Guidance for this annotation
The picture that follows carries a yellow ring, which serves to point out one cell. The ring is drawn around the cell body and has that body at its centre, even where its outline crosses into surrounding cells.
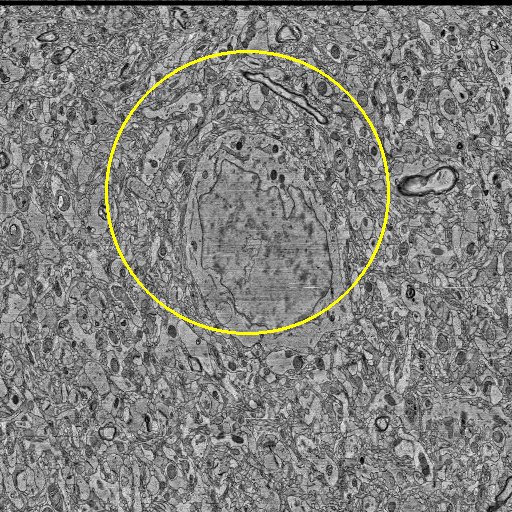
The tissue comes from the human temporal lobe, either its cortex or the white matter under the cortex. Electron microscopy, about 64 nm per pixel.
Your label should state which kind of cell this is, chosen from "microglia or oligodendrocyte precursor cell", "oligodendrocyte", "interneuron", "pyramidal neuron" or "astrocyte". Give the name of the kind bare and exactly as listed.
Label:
interneuron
